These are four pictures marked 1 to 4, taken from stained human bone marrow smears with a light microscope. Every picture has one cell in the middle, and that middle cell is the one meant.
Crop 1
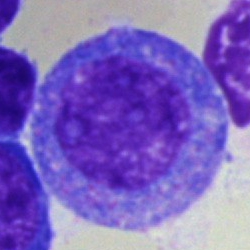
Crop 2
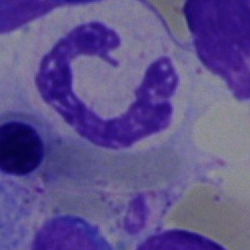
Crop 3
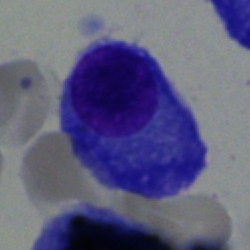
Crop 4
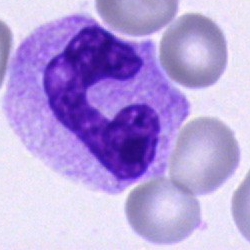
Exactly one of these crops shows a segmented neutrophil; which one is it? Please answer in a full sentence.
Crop 2 is the crop that displays a segmented neutrophil.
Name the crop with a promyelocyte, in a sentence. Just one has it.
Crop 1 is where a promyelocyte is to be found.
